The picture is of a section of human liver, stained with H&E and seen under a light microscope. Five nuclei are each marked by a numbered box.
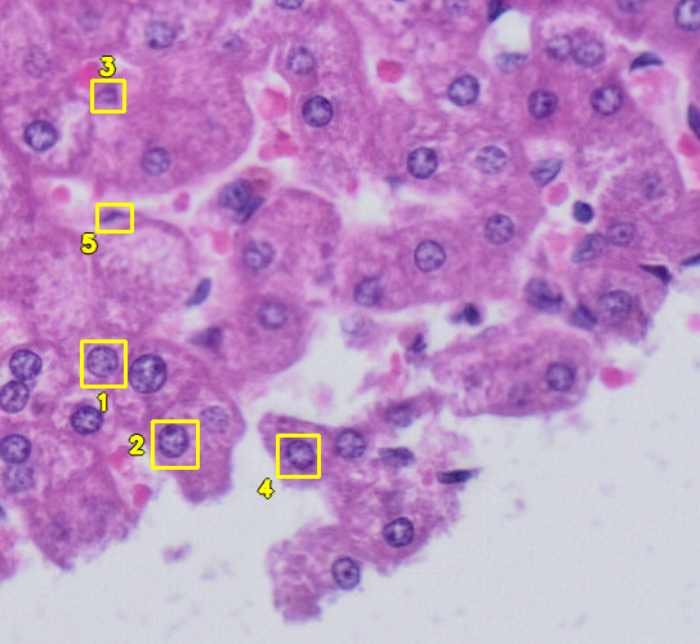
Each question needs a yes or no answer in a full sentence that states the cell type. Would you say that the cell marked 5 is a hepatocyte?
No, the cell at number 5 is a Kupffer cell instead of a hepatocyte.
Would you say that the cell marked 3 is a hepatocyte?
No, that is wrong: cell 3 is a Kupffer cell, and not a hepatocyte.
